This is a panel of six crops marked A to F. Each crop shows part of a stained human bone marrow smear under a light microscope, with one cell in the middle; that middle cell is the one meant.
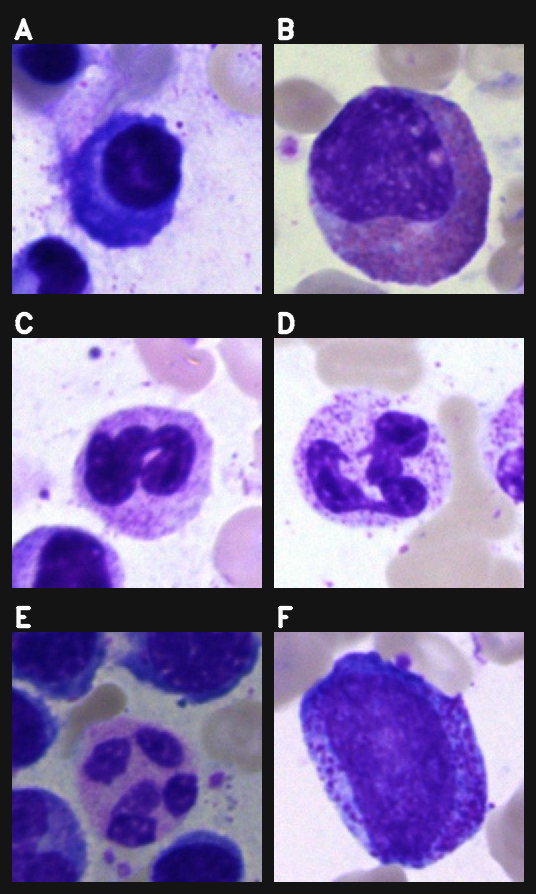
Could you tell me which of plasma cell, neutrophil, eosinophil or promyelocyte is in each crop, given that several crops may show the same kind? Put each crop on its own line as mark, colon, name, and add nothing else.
A: plasma cell
B: eosinophil
C: neutrophil
D: neutrophil
E: neutrophil
F: promyelocyte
